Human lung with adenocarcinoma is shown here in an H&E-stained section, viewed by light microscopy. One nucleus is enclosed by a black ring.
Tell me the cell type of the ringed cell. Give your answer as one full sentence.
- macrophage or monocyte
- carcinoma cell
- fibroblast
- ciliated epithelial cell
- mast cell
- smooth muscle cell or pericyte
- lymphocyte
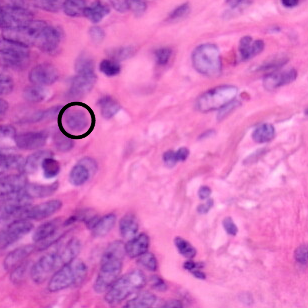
At the level of cell identity, the ringed cell is a ciliated epithelial cell.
